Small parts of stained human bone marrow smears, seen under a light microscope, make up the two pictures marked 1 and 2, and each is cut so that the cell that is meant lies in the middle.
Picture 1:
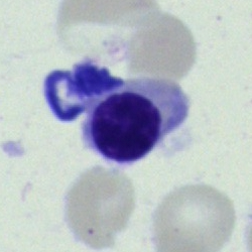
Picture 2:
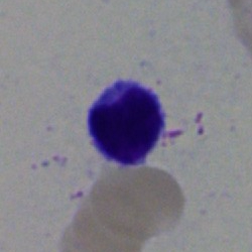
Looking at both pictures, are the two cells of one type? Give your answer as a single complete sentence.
No. Picture 1 shows an erythroblast, but picture 2 shows a lymphocyte.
